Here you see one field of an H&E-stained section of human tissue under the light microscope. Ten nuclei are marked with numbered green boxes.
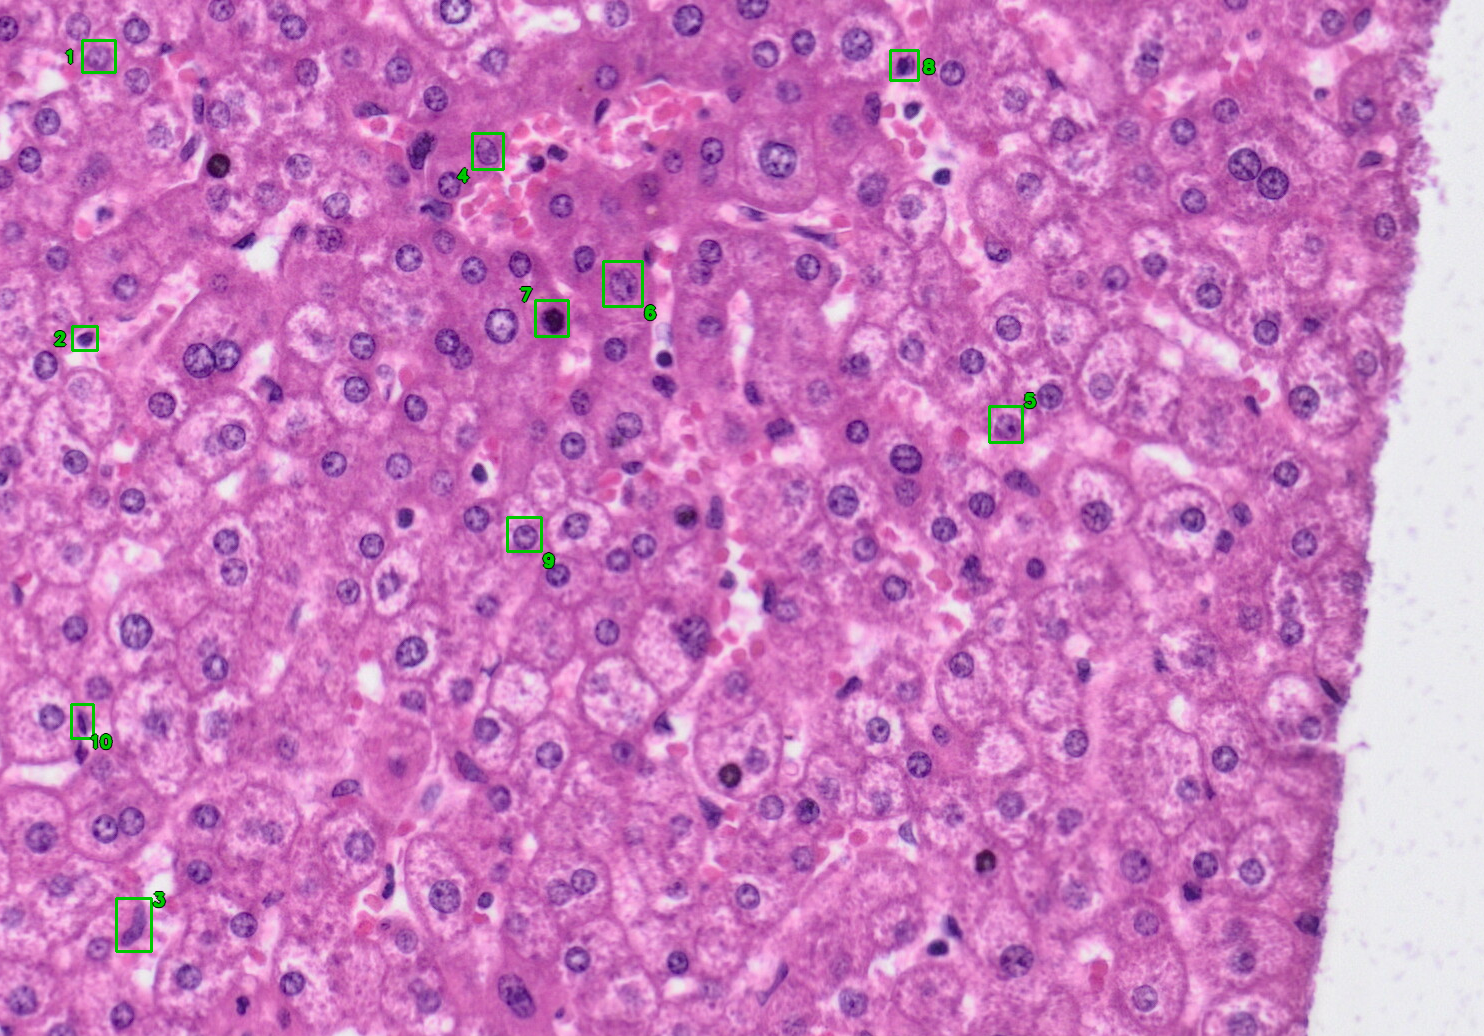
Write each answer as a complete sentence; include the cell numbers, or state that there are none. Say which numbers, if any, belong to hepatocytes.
The cells that the numbers 1, 4, 5, 6, 7 and 9 belong to are hepatocytes.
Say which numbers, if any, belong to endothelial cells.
Cell 10 is an endothelial cell and is the only numbered cell of that kind.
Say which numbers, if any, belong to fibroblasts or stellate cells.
Cell 8 is the single numbered cell that is a fibroblast or stellate cell.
